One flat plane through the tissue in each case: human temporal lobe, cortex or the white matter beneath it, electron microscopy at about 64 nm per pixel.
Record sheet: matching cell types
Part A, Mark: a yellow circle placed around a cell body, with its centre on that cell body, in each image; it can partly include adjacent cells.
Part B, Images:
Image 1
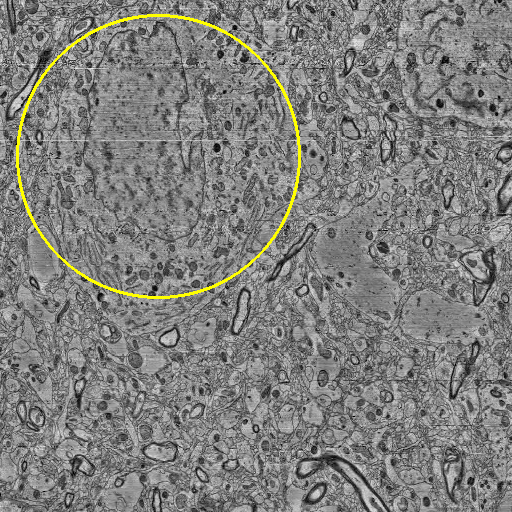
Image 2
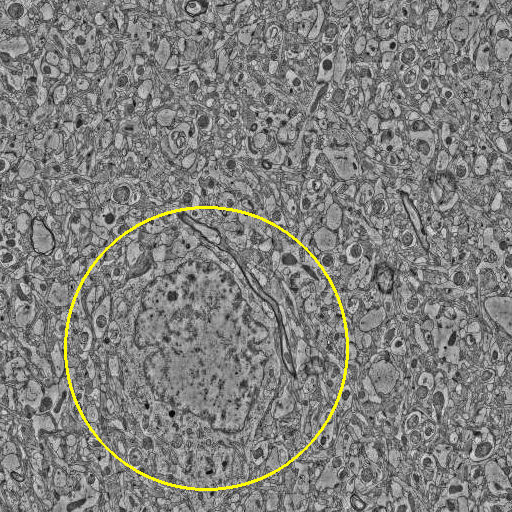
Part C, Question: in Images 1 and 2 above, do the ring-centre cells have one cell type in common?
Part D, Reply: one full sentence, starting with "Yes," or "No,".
Yes, the ring-centre cells of Image 1 and Image 2 are both of a single cell type.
